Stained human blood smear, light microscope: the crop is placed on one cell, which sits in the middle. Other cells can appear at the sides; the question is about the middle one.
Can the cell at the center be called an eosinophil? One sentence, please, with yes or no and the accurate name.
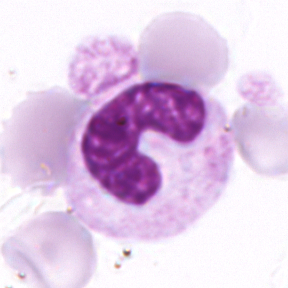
No, in the centre of the crop lies a band neutrophil, not an eosinophil.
